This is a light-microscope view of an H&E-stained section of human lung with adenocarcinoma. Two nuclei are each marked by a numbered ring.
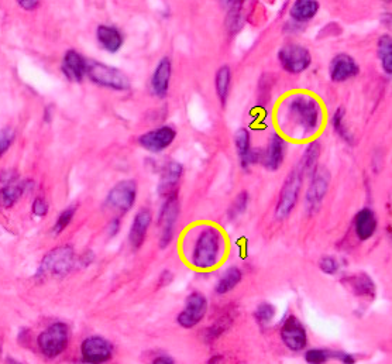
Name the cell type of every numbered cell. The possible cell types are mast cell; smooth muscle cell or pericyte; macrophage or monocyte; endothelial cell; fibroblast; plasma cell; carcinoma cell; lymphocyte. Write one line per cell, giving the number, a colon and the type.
1: mast cell
2: plasma cell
